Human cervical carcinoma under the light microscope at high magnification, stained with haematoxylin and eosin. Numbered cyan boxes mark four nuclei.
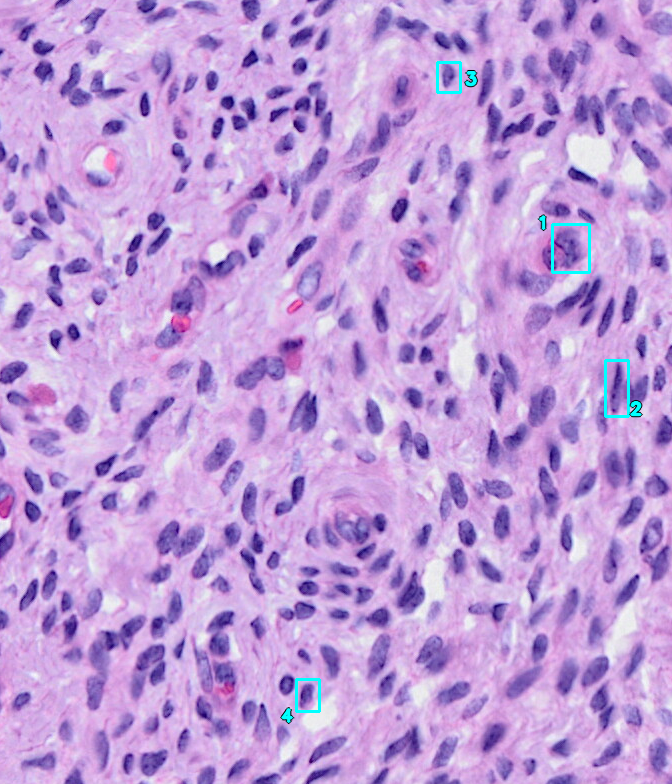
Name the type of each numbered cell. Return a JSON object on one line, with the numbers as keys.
{"1": "endothelial cell", "2": "fibroblast", "3": "fibroblast", "4": "fibroblast"}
